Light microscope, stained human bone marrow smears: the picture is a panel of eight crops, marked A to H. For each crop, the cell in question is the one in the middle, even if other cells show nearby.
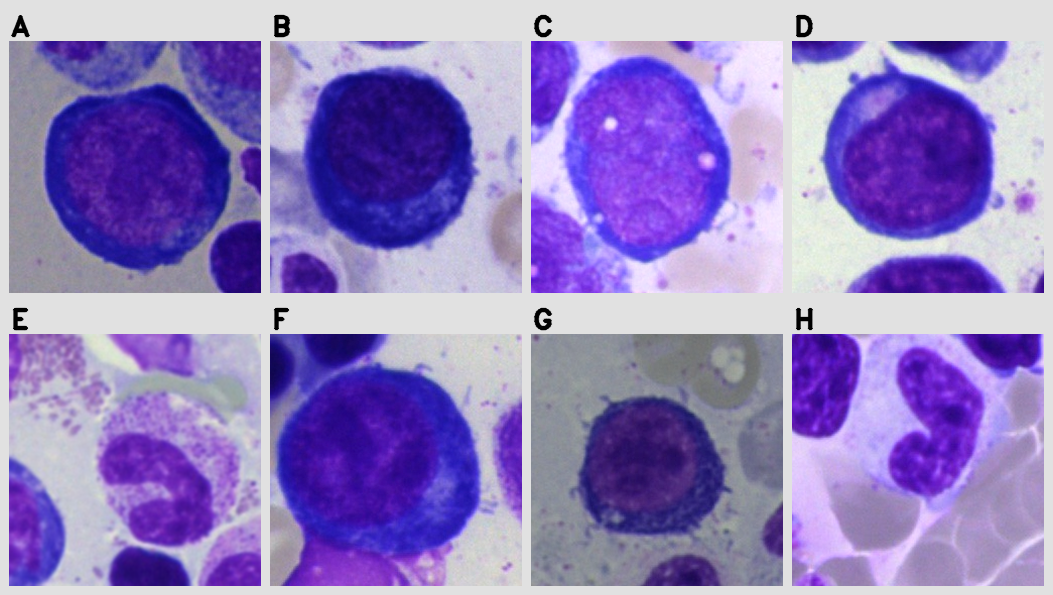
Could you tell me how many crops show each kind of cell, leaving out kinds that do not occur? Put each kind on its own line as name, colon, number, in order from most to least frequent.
proerythroblast: 6
band neutrophil: 2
